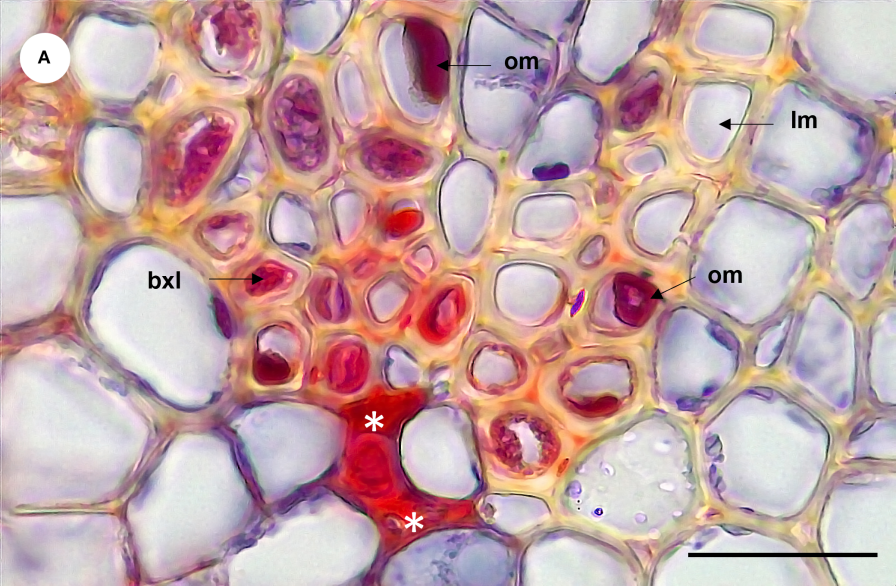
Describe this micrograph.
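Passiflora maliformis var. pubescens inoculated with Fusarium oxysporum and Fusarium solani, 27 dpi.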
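Cross-section of a vascular bundle with a cluster of small, thick-walled xylem cells surrounded by larger thin-walled parenchyma cells. Many xylem cells have lumens partly or wholly filled with dark red to purple occluding material, some as a crescent against one wall, others as a granular plug. Cell walls stain yellowish, with red tint around the occluded cluster. The surrounding parenchyma cells are large, polygonal to rounded, with empty pale lumens. Below the cluster a dense red mass fills the intercellular space between cells.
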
